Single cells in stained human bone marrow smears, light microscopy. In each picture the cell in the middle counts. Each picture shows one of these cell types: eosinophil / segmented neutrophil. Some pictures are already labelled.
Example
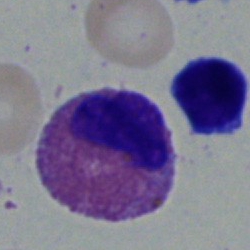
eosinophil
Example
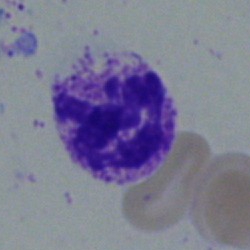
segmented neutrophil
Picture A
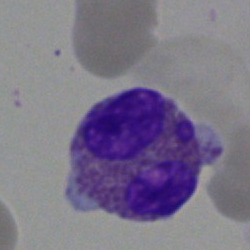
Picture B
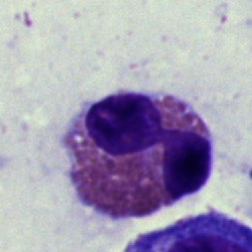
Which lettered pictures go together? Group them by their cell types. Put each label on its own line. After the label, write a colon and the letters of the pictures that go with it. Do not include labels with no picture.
eosinophil: A, B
